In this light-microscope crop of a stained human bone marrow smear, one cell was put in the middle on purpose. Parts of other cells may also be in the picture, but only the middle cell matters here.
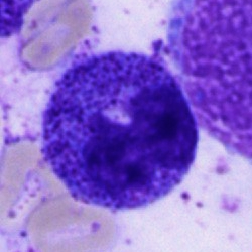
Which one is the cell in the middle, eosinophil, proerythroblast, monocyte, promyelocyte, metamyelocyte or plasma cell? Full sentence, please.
In the middle of this smear crop is a promyelocyte.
